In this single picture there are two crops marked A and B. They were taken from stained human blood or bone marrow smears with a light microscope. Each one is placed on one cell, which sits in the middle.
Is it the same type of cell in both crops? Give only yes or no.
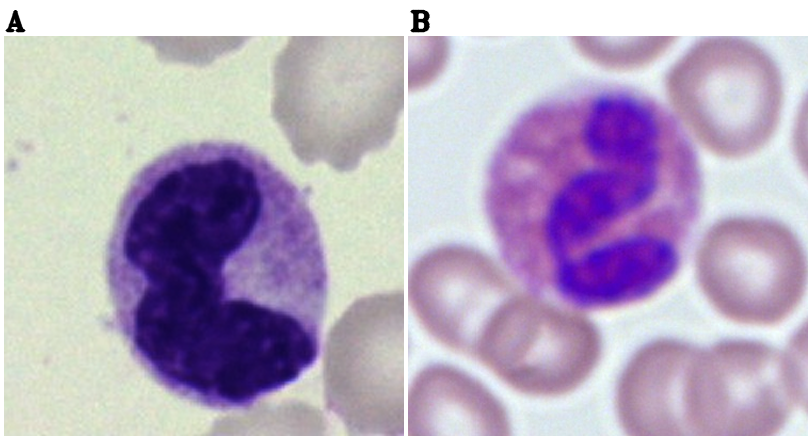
no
